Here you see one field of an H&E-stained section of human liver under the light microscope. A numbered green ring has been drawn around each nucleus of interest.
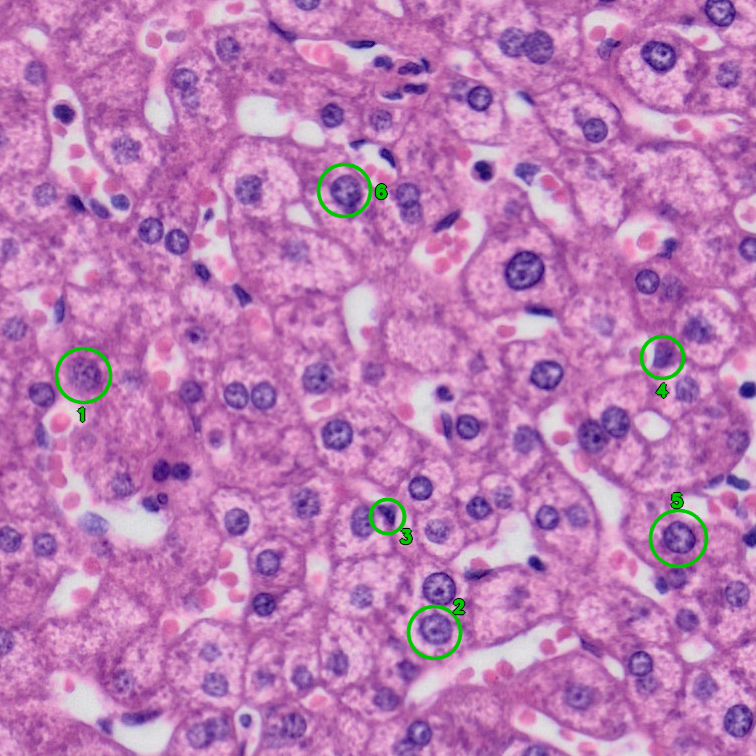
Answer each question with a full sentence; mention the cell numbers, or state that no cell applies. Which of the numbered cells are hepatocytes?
As for the cells numbered 1, 2, 5 and 6, they are hepatocytes.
